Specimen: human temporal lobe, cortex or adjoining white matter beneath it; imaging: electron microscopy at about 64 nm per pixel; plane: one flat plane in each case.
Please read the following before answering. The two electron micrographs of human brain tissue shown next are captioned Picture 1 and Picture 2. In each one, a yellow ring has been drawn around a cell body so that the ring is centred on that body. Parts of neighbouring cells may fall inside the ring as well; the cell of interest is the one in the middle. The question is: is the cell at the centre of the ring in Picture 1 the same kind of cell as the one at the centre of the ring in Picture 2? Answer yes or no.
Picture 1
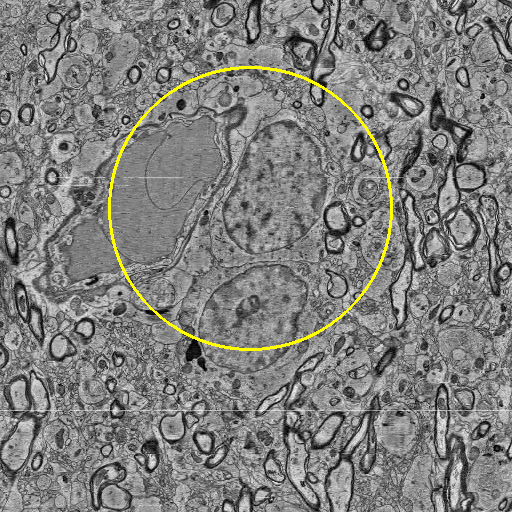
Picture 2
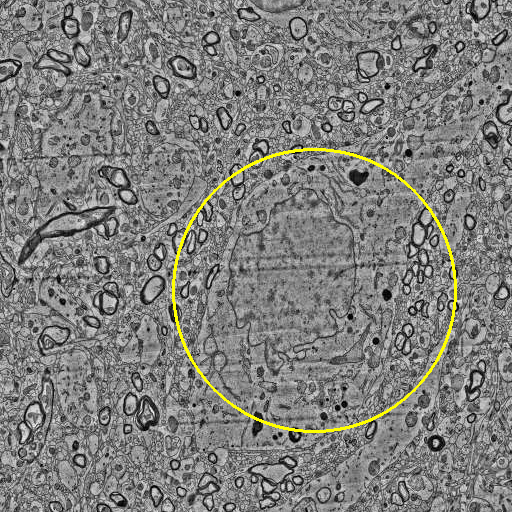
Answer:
no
